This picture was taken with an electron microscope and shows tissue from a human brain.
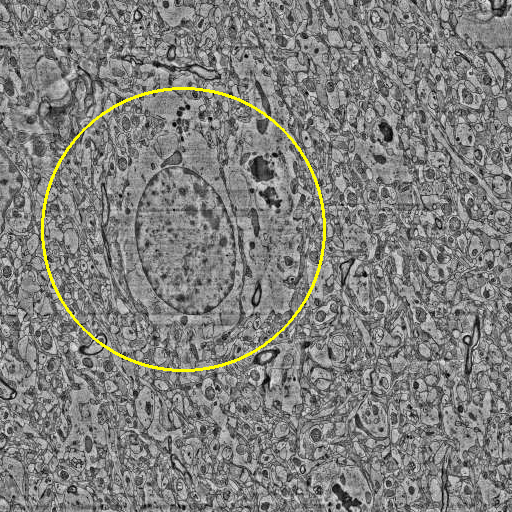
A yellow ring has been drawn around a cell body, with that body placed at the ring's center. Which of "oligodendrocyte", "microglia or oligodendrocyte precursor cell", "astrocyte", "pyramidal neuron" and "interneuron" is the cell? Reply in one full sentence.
In this picture, an astrocyte is the cell at the center of the yellow ring.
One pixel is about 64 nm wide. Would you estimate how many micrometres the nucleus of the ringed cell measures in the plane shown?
The nucleus measures about 10 by 6 micrometres, so it is clearly longer than it is wide in this plane.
